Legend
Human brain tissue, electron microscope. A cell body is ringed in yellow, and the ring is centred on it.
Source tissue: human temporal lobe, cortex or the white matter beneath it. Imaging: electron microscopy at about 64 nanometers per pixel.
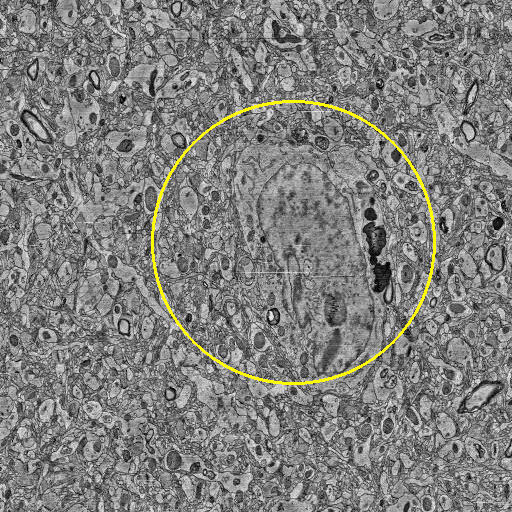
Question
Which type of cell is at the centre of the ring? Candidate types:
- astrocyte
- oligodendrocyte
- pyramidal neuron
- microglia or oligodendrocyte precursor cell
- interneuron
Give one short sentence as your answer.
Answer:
The yellow ring is centred here on an interneuron.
